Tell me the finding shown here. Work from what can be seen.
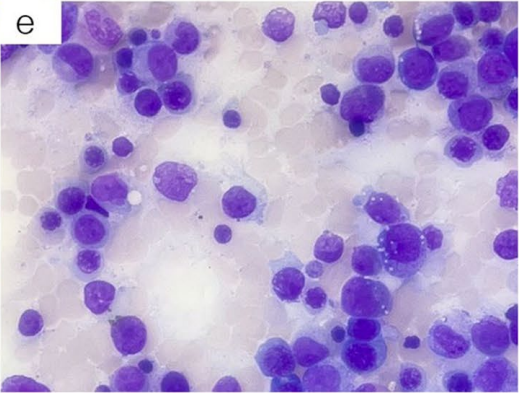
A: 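Some cells with dark blue cytoplasm carry small clear round holes.
Cytoplasmic vacuoles.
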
